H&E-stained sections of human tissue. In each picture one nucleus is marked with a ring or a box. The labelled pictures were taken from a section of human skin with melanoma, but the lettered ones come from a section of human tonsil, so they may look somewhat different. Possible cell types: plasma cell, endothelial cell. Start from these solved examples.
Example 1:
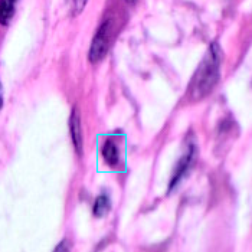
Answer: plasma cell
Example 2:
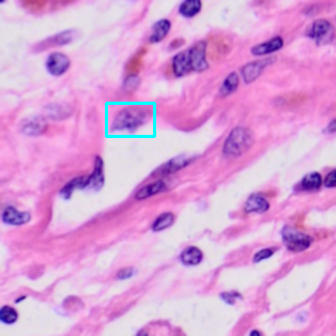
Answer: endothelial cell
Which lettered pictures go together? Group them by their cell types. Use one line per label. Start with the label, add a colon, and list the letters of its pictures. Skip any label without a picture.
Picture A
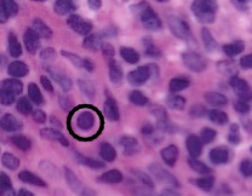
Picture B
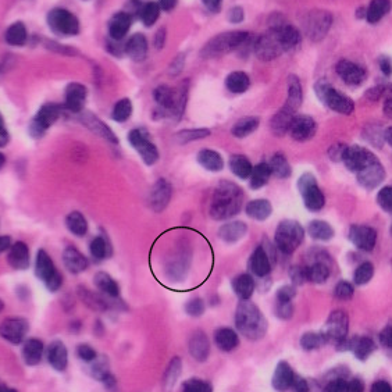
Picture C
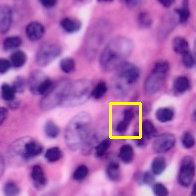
endothelial cell: A, B, C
